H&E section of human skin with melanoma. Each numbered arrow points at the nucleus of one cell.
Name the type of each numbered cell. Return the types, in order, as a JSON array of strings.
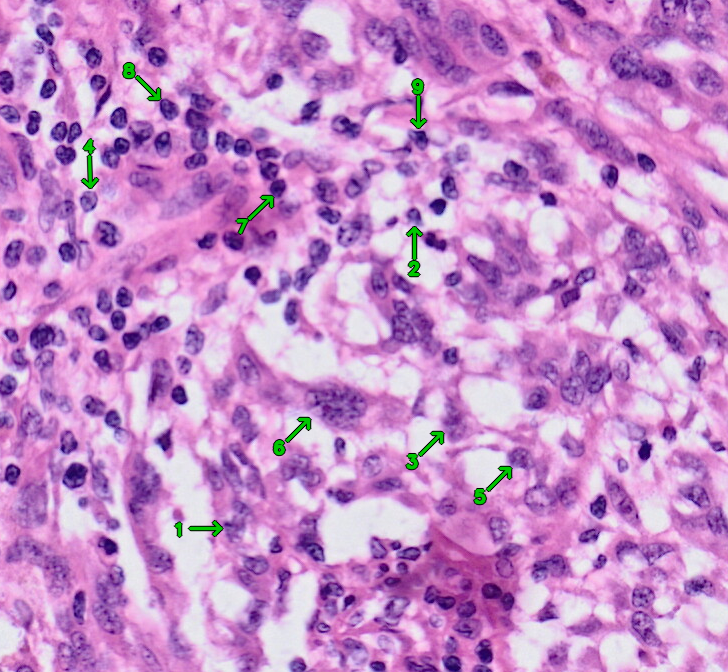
["melanoma cell", "lymphocyte", "melanoma cell", "lymphocyte", "melanoma cell", "melanoma cell", "lymphocyte", "lymphocyte", "lymphocyte"]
